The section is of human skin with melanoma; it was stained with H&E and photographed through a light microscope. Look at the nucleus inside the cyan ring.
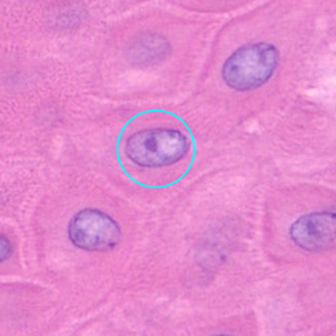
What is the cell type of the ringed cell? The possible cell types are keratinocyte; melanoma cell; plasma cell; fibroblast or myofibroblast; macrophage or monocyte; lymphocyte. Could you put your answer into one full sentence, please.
For the purposes of cell typing, the ringed cell is categorized as a keratinocyte.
